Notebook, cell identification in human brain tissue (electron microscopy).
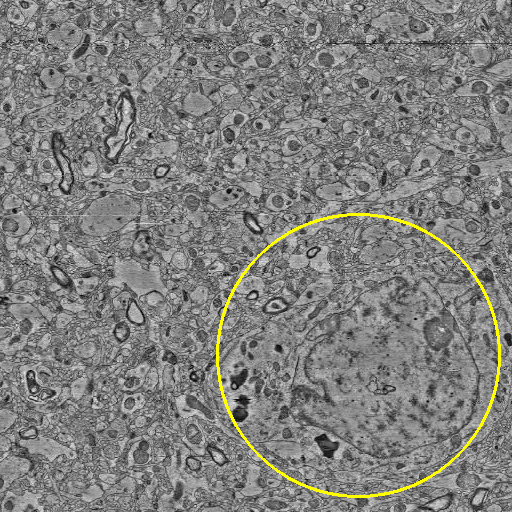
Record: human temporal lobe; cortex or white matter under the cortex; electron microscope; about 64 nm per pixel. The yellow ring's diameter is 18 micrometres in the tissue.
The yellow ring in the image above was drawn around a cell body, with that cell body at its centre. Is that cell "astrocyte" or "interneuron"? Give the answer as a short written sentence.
The cell in the ring is an interneuron.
